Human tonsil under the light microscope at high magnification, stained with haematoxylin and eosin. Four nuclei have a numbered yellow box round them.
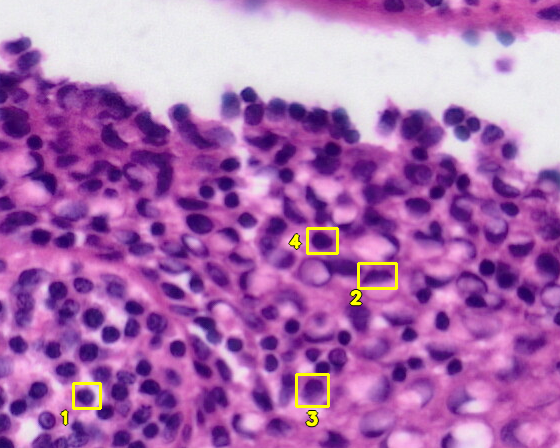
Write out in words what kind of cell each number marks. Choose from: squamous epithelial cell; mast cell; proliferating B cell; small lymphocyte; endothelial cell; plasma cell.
Cell 1 is a plasma cell, cell 2 is a squamous epithelial cell, cell 3 is a squamous epithelial cell and cell 4 is a squamous epithelial cell.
